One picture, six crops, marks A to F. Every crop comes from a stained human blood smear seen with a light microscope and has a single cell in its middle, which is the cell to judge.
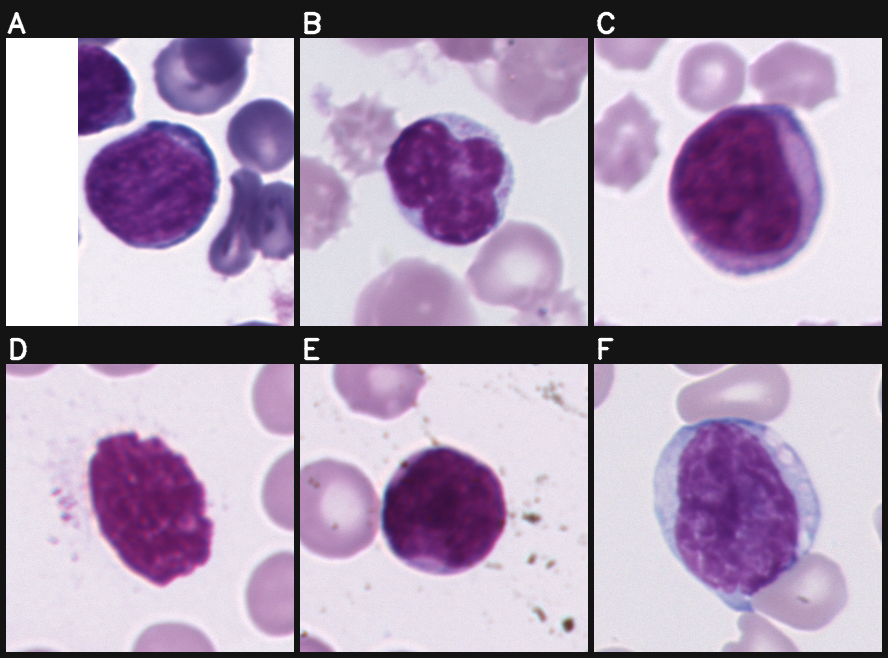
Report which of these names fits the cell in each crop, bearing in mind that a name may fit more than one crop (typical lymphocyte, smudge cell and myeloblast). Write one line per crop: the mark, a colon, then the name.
A: myeloblast
B: typical lymphocyte
C: myeloblast
D: smudge cell
E: myeloblast
F: myeloblast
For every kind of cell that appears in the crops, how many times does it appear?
myeloblast: 4
typical lymphocyte: 1
smudge cell: 1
